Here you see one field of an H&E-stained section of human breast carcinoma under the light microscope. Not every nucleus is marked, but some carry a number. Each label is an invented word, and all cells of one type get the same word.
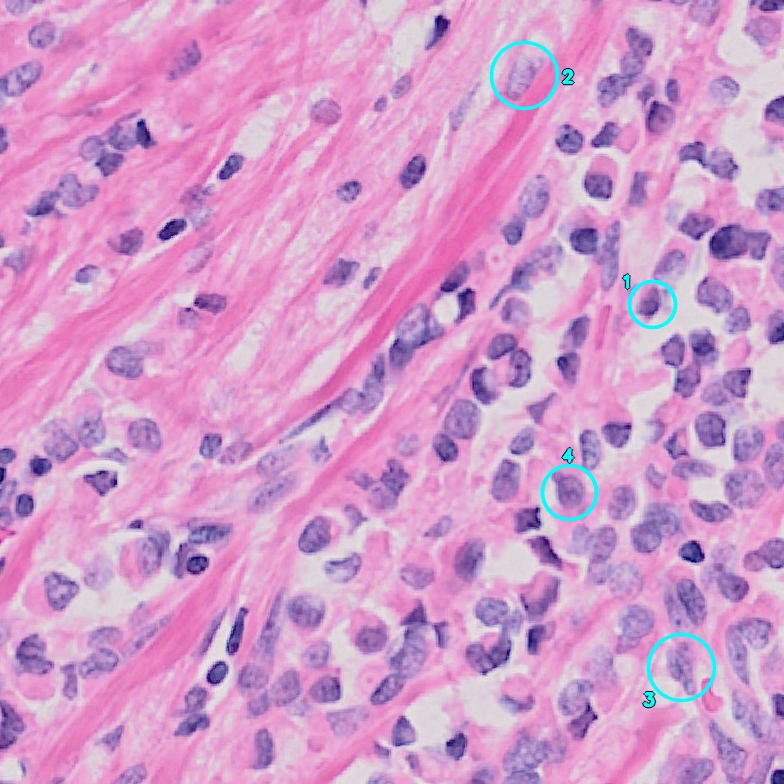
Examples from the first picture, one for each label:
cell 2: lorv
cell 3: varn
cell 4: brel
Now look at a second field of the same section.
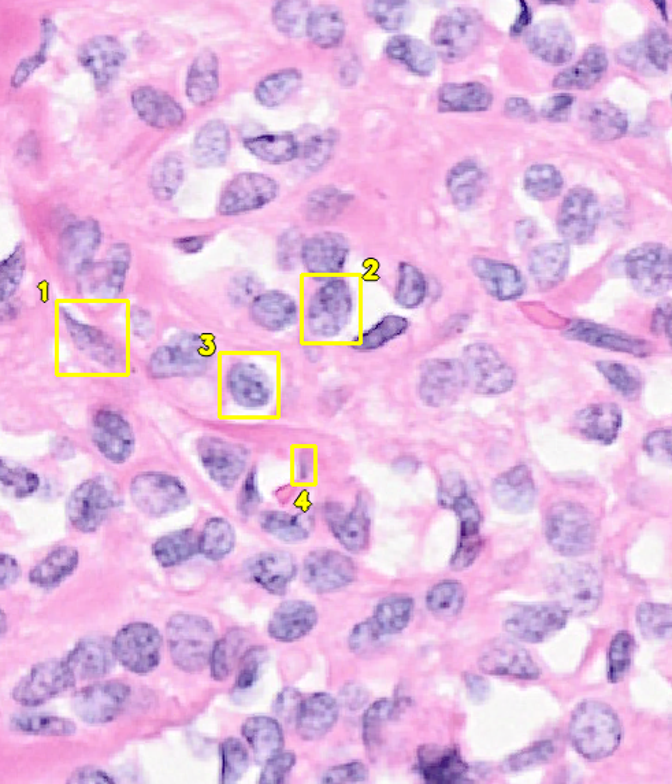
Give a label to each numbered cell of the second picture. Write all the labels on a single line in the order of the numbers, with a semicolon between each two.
lorv; brel; brel; varn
